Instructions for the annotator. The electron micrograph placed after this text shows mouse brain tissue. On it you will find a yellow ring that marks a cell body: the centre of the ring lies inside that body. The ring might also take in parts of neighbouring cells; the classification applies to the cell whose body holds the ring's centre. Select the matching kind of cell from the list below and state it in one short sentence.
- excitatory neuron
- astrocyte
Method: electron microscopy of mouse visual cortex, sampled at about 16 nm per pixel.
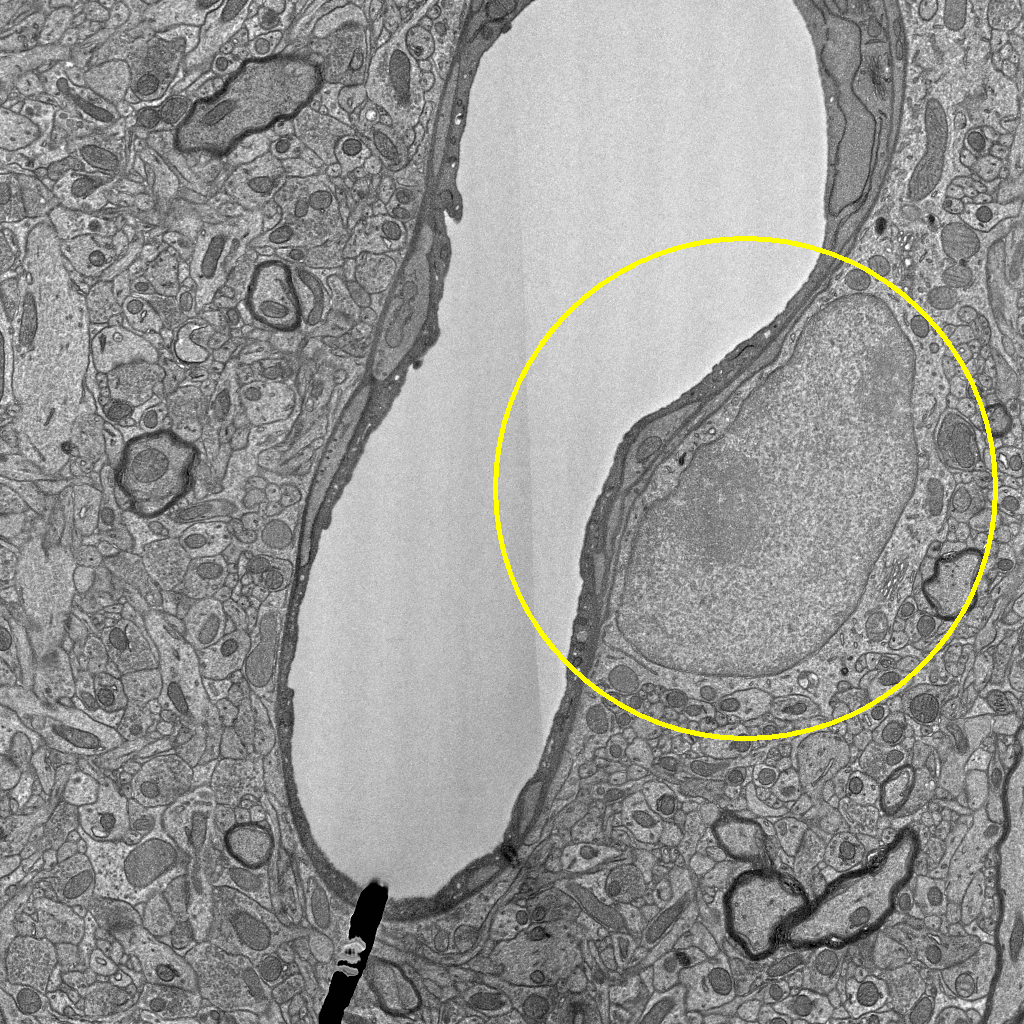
The centre of the ring lies in the cell body of an astrocyte.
